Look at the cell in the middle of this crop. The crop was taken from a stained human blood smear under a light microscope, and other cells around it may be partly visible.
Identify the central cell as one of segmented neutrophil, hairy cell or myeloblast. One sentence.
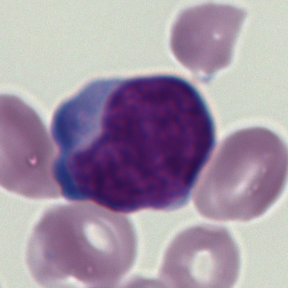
The centrally positioned cell in the crop represents a myeloblast.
